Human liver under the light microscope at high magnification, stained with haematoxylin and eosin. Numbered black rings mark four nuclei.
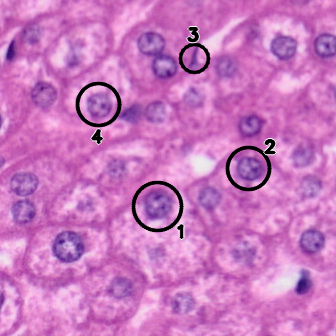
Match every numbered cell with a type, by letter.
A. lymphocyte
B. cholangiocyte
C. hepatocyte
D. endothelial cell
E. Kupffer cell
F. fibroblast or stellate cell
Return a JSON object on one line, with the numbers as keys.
{"1": "C", "2": "C", "3": "F", "4": "C"}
